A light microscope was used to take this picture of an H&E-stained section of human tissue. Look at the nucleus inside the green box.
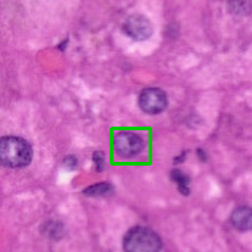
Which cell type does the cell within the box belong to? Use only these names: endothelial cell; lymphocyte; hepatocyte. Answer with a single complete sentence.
Students should answer that the cell within the box is a hepatocyte.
